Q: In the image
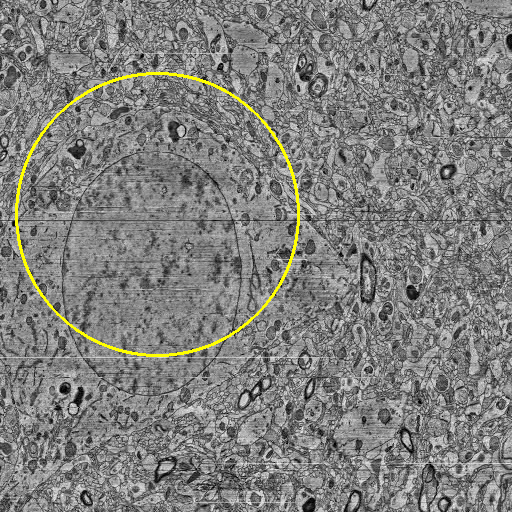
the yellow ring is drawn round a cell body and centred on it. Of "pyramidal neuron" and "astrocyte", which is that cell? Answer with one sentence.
The cell centred in the ring is a pyramidal neuron.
